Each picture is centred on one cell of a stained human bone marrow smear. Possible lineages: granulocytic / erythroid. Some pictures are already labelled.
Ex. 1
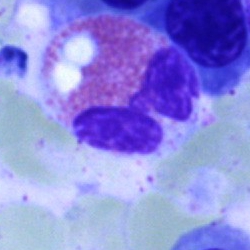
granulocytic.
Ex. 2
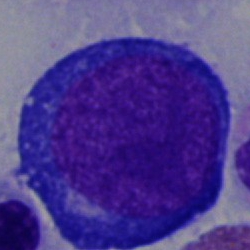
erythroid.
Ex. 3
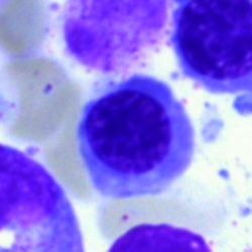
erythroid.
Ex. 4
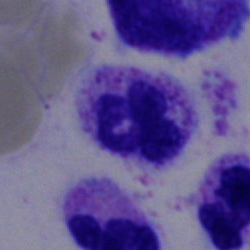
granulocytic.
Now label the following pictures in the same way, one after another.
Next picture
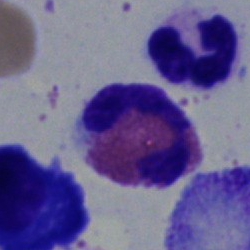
granulocytic.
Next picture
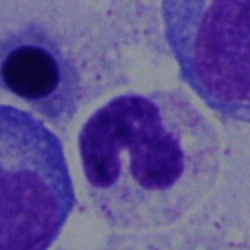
granulocytic.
